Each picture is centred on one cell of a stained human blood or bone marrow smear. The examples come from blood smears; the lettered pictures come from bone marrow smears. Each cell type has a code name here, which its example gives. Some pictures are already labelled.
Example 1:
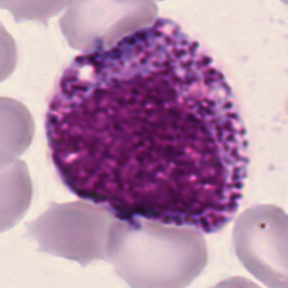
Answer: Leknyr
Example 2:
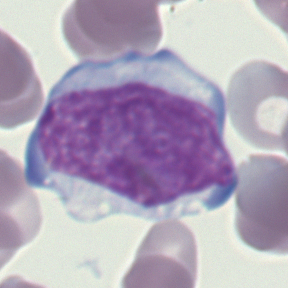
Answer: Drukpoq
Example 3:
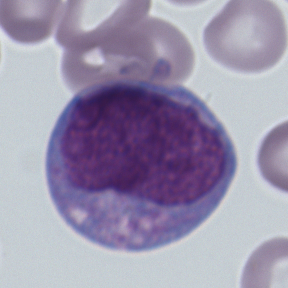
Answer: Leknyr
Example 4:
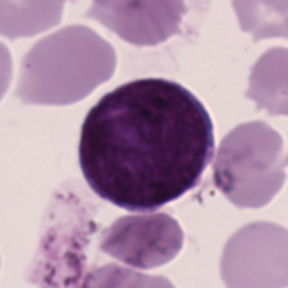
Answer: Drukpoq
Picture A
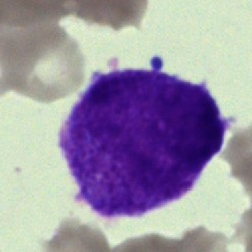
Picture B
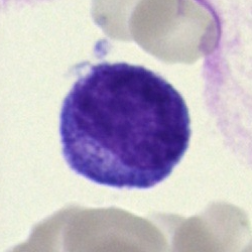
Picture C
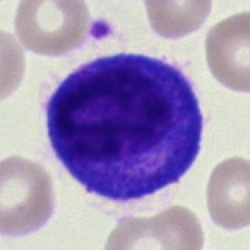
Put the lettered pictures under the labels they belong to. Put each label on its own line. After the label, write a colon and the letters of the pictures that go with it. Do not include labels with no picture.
Leknyr: B, C
Drukpoq: A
